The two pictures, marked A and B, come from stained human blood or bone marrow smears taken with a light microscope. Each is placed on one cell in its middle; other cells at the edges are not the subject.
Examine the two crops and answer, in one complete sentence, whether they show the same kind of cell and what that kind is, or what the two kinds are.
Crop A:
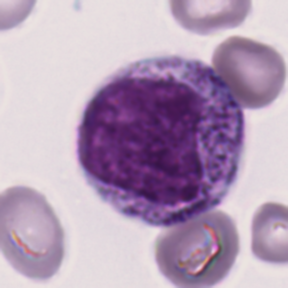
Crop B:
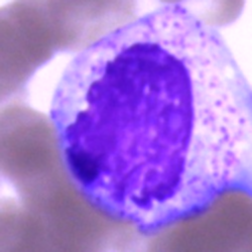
No, crop A depicts a myelocyte, and crop B depicts a promyelocyte.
